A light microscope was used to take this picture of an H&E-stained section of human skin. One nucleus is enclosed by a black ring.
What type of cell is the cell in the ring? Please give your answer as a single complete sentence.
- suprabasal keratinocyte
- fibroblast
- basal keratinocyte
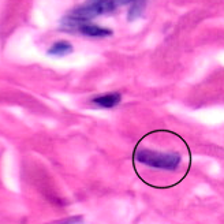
So far as cell type goes, the cell in the ring is a fibroblast.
